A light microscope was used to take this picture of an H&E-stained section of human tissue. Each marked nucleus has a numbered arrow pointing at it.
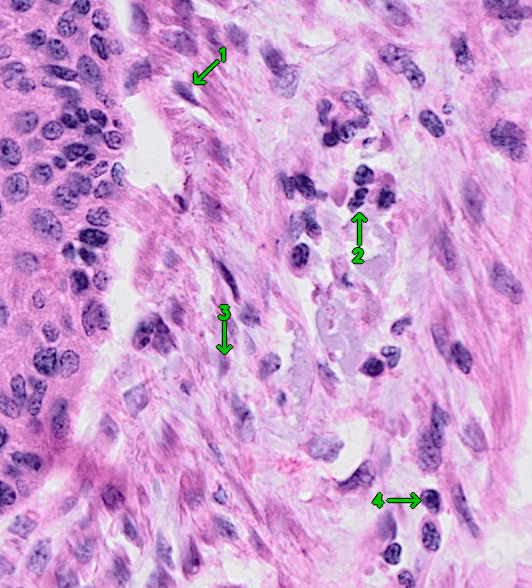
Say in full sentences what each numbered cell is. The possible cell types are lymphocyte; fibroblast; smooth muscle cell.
Cell 1 is a fibroblast, cell 2 is a lymphocyte, cell 3 is a fibroblast and cell 4 is a lymphocyte.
